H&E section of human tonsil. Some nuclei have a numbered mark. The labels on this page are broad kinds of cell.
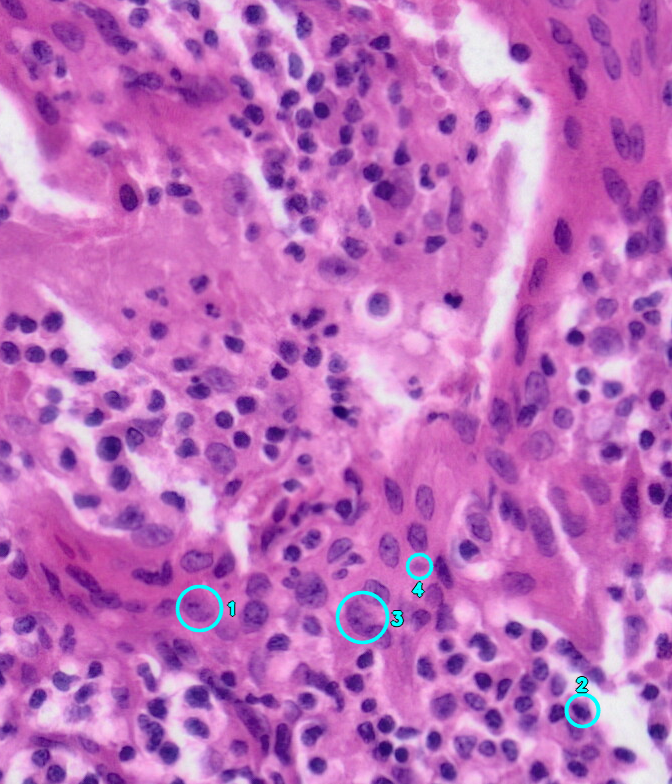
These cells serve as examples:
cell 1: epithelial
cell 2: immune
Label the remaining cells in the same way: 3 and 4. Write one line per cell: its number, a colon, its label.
3: epithelial
4: epithelial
